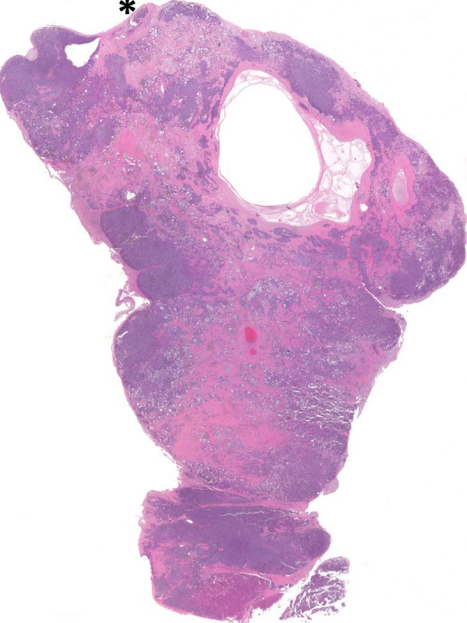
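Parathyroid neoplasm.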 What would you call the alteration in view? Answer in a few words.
Solid and cystic appearance with fibrous bands.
